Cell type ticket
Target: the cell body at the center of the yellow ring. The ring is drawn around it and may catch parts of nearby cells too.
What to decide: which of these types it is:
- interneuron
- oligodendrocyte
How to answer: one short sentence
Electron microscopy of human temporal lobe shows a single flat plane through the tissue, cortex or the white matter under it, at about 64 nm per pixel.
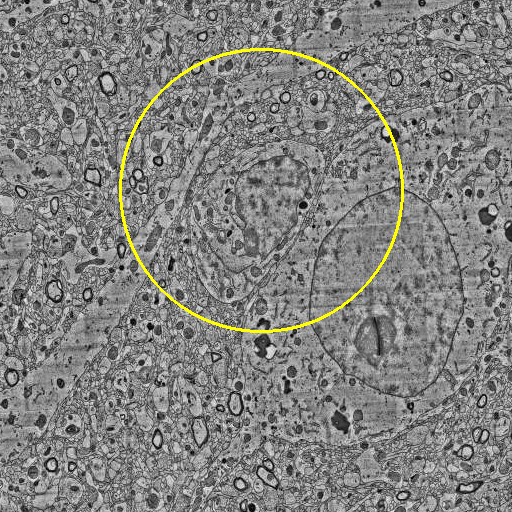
The cell at the center of the ring is an interneuron.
